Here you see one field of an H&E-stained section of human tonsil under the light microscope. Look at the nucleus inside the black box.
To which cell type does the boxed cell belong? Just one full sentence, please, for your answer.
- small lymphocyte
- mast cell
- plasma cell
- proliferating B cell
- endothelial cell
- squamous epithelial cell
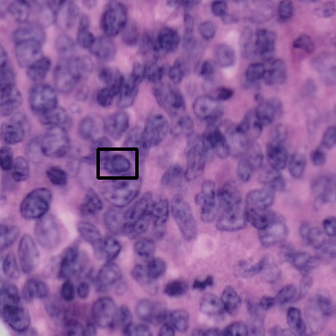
The cell type of the boxed cell is that of a proliferating B cell.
